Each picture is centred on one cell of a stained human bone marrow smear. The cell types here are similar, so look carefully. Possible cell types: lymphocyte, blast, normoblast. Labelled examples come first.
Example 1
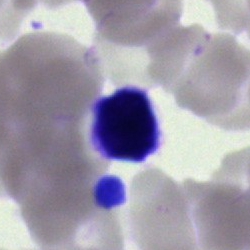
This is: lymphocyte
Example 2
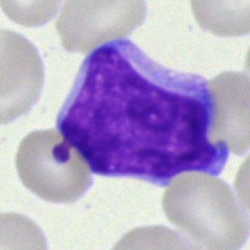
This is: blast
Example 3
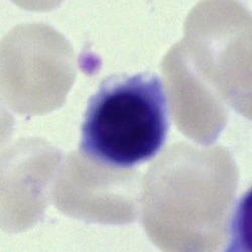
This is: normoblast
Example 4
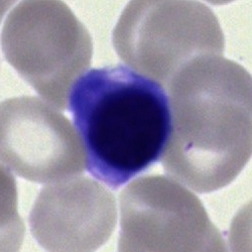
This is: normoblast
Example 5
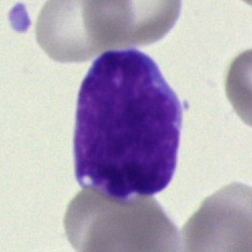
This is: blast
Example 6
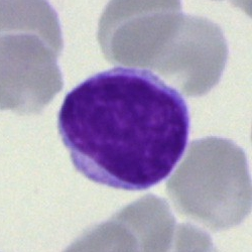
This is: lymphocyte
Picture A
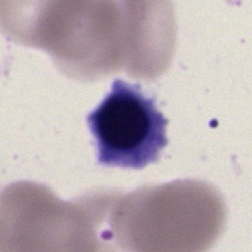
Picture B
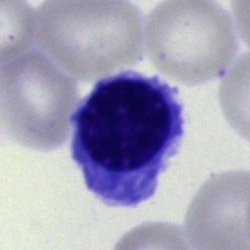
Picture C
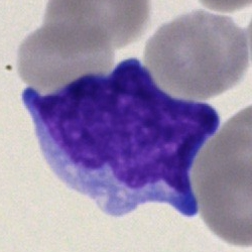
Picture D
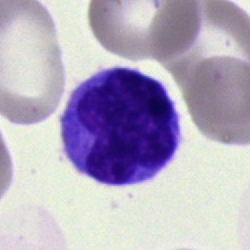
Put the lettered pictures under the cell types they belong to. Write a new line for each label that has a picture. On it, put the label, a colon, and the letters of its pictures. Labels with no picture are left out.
lymphocyte: D
blast: C
normoblast: A, B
